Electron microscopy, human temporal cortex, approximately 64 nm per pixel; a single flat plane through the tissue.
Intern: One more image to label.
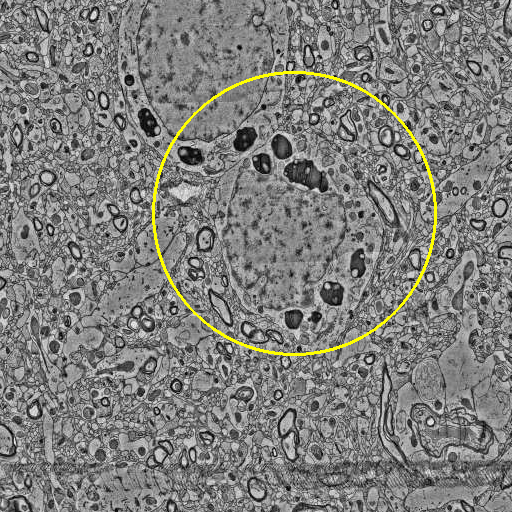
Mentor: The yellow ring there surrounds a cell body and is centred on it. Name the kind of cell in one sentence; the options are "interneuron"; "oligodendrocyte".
The ring marks the cell body of an interneuron.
